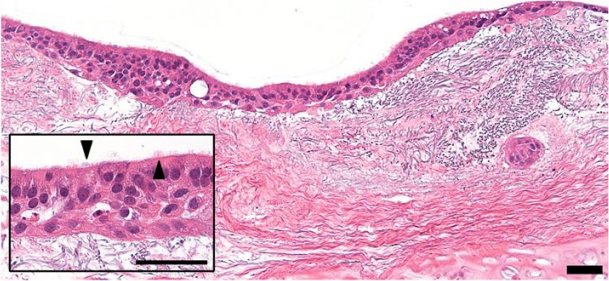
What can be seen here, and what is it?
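The epithelial layer is several nuclei deep, with round to oval purple nuclei at different levels and pink cytoplasm between them, giving a pseudostratified look. In the inset, a thin pink fringe along the free surface corresponds to cilia. Below, the scaffold shows wavy pink fibres mixed with darker, granular purple areas, and a small round cluster of cells sits deeper in the stroma.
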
